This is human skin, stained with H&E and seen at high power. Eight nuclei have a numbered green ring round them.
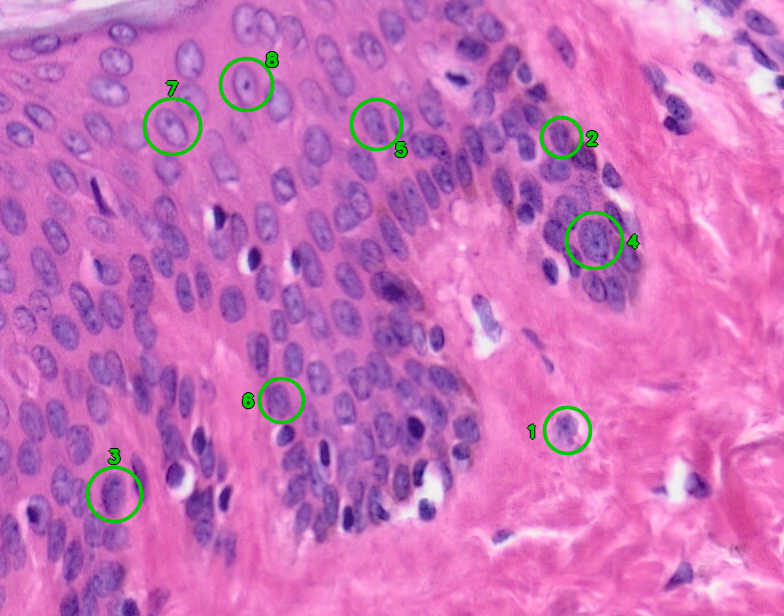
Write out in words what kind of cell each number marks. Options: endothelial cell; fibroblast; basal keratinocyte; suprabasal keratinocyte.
Cell 1 is a fibroblast, cell 2 is a basal keratinocyte, cell 3 is a basal keratinocyte, cell 4 is a basal keratinocyte, cell 5 is a suprabasal keratinocyte, cell 6 is a basal keratinocyte, cell 7 is a suprabasal keratinocyte and cell 8 is a suprabasal keratinocyte.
